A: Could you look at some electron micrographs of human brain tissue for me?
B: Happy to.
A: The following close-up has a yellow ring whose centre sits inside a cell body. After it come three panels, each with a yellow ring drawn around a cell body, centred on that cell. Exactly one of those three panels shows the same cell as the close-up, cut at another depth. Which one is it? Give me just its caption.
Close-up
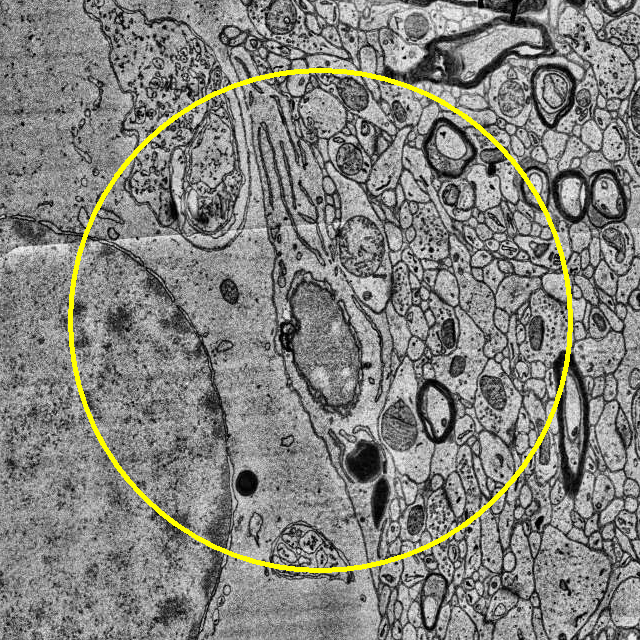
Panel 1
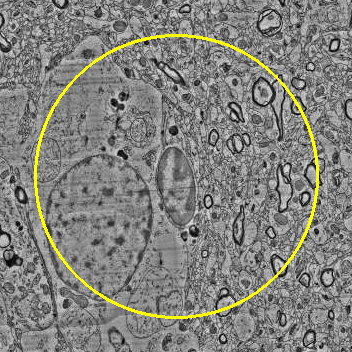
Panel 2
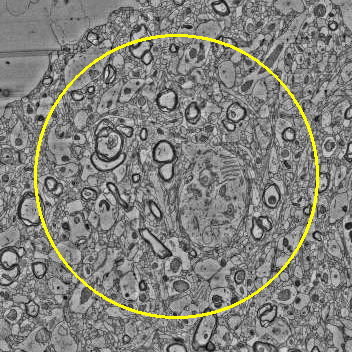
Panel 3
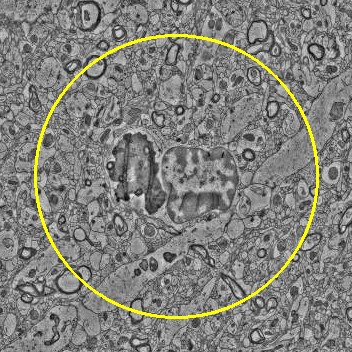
Panel 1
